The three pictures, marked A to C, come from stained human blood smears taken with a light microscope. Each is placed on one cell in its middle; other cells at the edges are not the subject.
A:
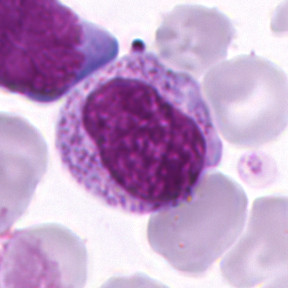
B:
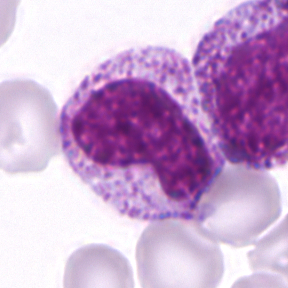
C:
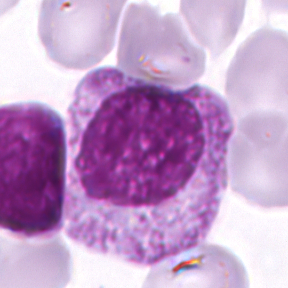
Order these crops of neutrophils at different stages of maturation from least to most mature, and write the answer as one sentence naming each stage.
The correct order from least to most mature is crop C (a myelocyte), crop A (a metamyelocyte) and crop B (a band neutrophil).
